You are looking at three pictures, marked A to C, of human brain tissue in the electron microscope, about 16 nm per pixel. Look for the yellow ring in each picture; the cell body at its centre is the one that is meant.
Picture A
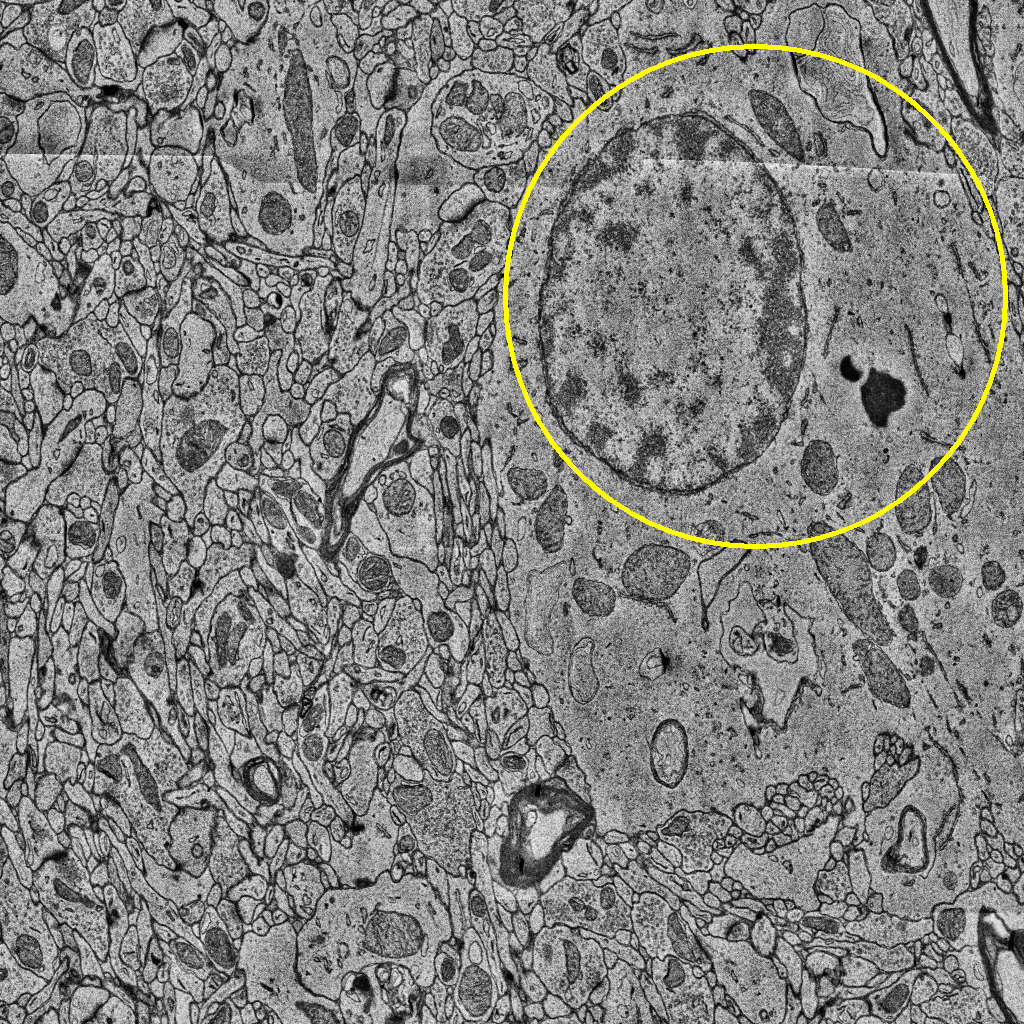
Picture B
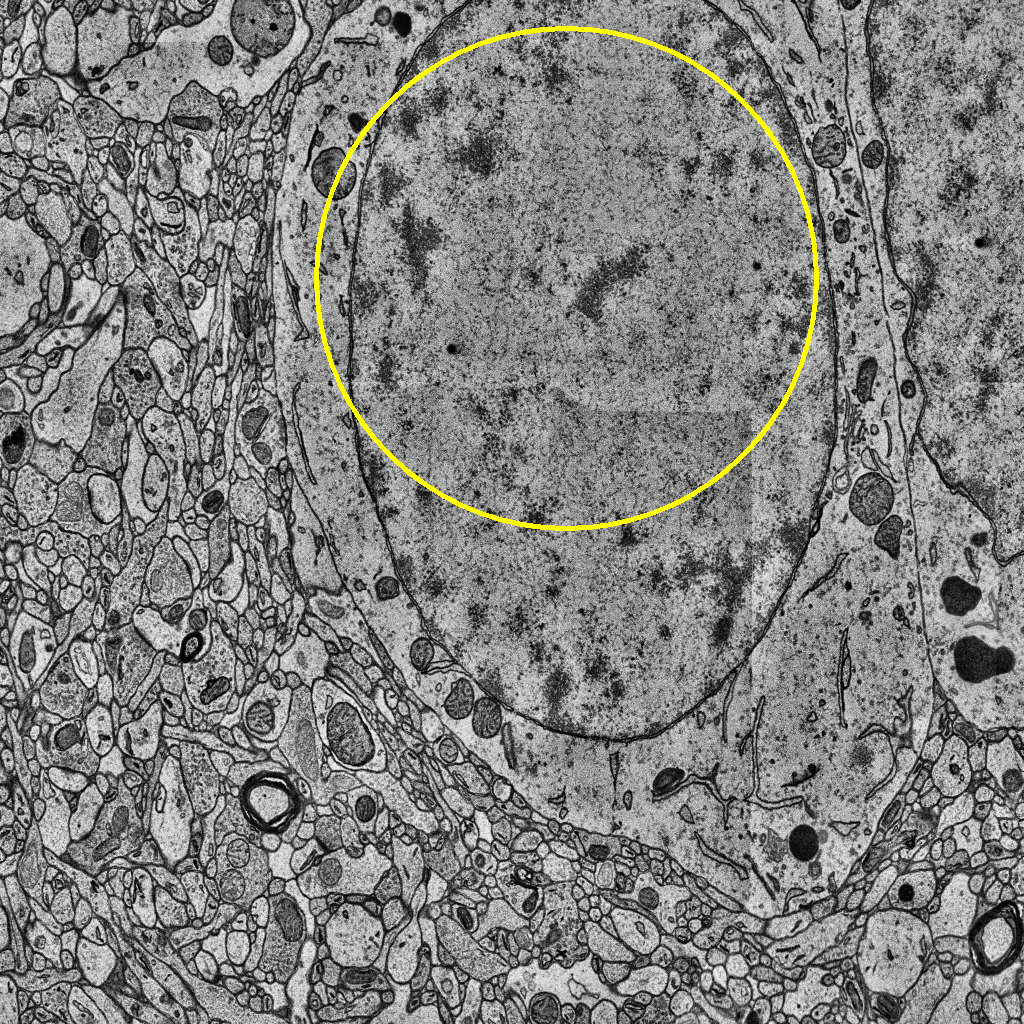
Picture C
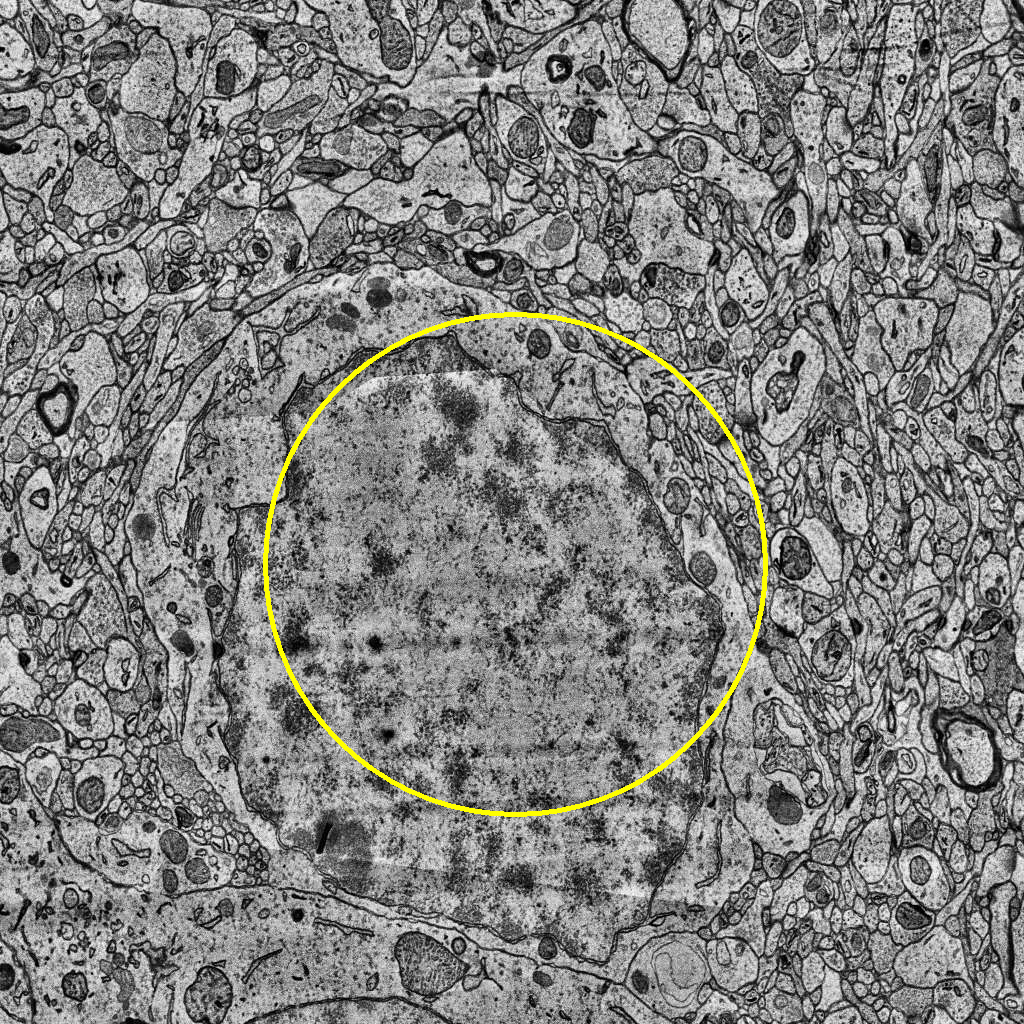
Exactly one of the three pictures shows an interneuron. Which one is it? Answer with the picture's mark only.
C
